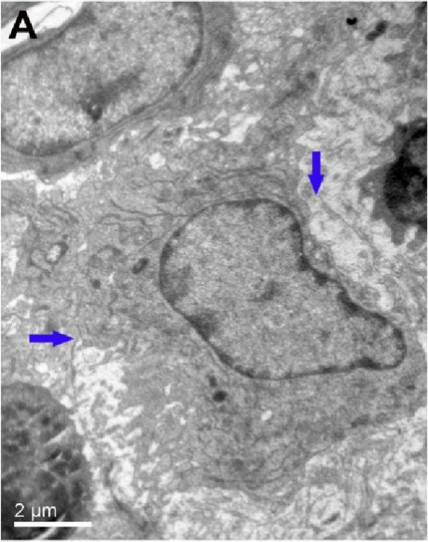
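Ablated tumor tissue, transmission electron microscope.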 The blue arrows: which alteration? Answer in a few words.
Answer: Interrupted cell membranes.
